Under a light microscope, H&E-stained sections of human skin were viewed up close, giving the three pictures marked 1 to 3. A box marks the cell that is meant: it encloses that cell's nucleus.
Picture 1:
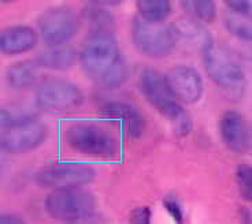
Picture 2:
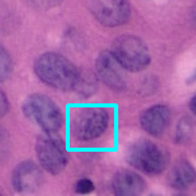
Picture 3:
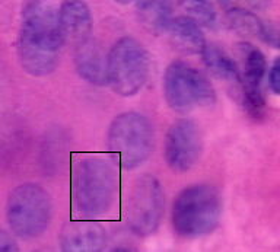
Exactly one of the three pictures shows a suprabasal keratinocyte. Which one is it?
3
